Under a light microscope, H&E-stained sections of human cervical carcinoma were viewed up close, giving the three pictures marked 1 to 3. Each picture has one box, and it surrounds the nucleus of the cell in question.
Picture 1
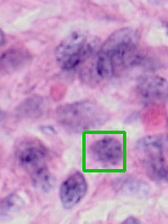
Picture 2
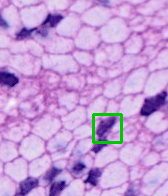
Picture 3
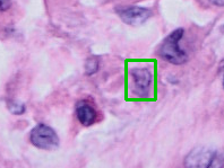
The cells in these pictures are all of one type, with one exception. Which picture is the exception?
2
